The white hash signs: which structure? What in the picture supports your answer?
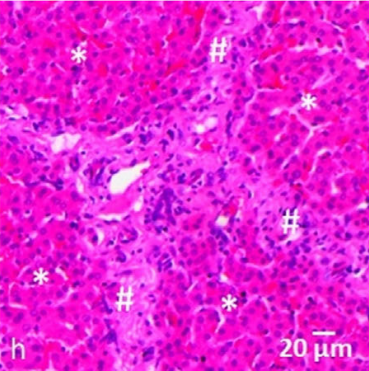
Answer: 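Septation. The hash signs lie on paler bands with many small dark nuclei. The bands run between areas of pink polygonal cells.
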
